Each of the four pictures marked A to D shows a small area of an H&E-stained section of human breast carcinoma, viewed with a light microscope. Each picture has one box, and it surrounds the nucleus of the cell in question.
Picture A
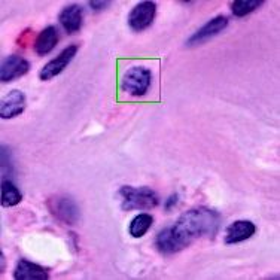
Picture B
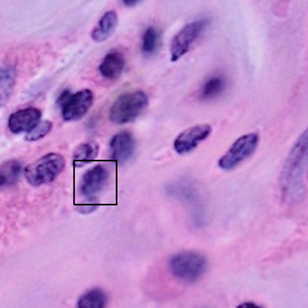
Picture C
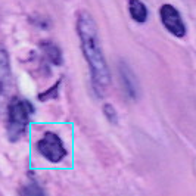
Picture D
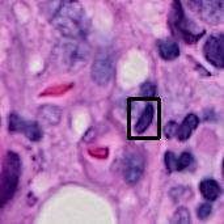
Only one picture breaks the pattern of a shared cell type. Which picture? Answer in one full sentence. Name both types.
Picture A is the odd one out: it shows a mast cell, while the others show lymphocytes.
